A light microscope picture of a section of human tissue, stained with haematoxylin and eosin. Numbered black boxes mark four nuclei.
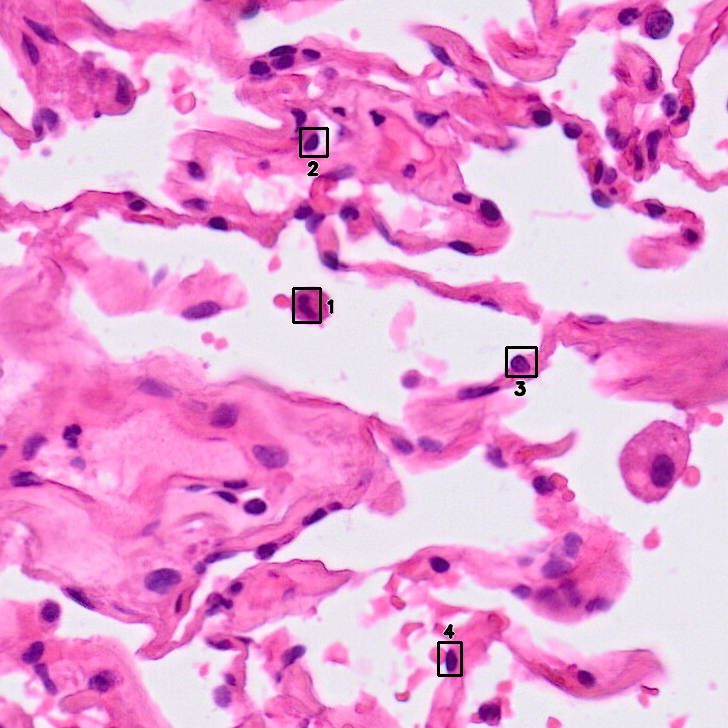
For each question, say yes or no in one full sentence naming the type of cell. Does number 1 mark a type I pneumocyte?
No, sorry, the cell labelled 1 is not a type I pneumocyte; it is a macrophage or monocyte.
